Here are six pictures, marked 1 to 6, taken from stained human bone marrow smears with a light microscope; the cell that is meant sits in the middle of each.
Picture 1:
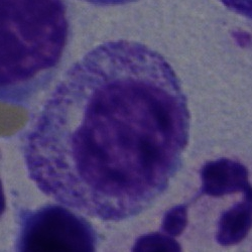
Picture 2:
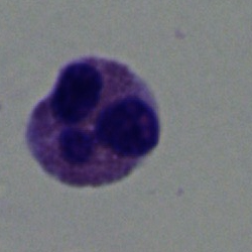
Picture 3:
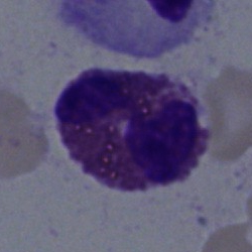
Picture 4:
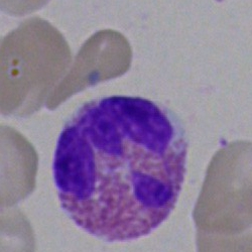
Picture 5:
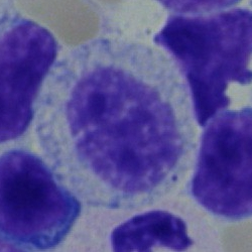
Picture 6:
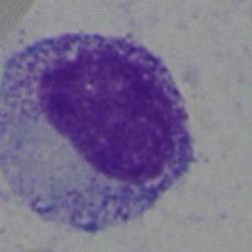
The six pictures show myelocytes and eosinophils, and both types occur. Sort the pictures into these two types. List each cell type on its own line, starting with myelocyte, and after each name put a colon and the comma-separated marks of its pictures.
myelocyte: 1, 5, 6
eosinophil: 2, 3, 4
